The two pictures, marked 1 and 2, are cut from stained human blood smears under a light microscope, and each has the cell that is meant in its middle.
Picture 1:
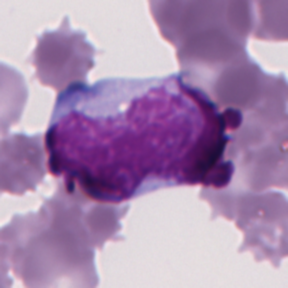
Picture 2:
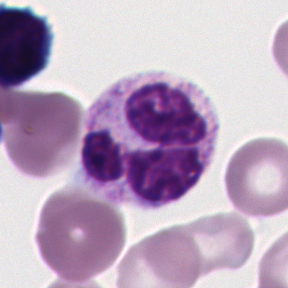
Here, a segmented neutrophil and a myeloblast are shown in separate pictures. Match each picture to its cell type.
1: myeloblast
2: segmented neutrophil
